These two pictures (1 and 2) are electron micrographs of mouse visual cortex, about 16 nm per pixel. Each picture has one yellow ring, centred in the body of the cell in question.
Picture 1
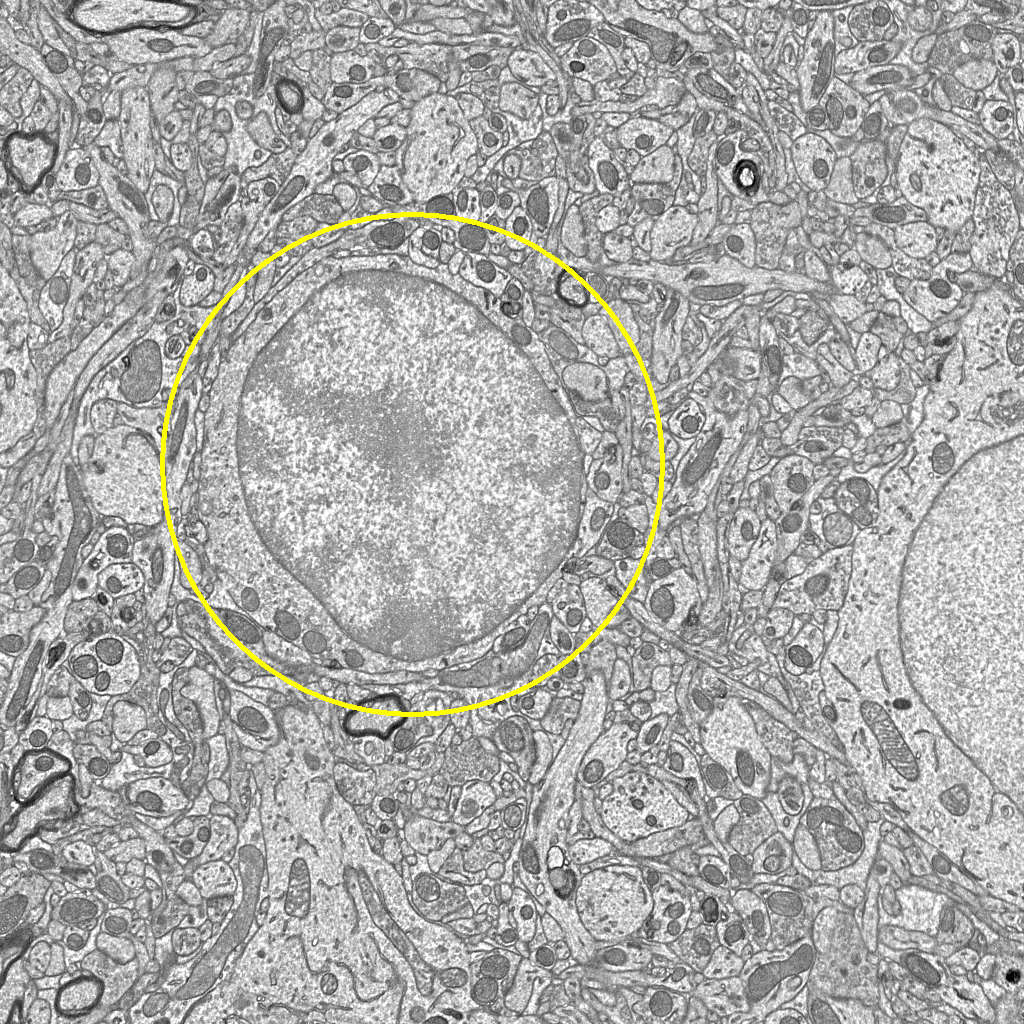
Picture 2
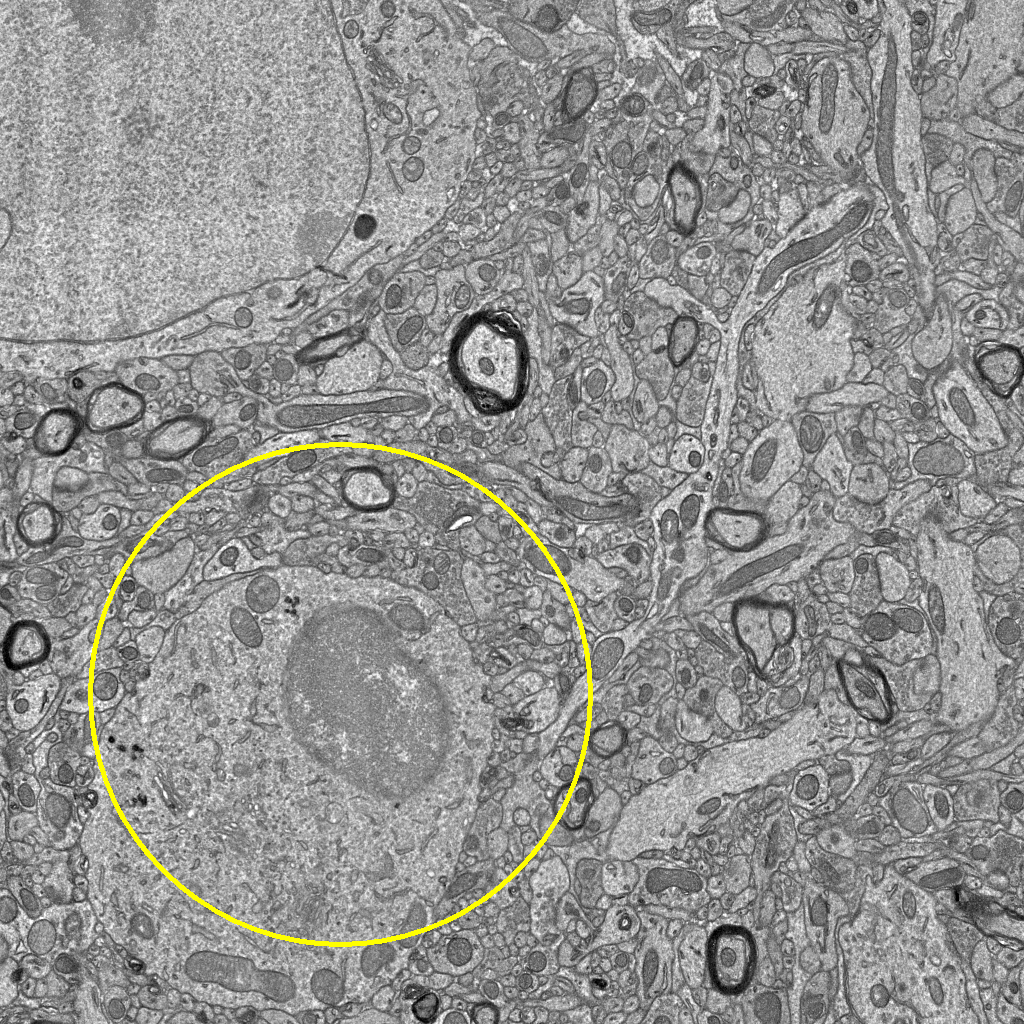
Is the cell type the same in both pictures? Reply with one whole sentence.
Yes, they are the same type: both are oligodendrocytes.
